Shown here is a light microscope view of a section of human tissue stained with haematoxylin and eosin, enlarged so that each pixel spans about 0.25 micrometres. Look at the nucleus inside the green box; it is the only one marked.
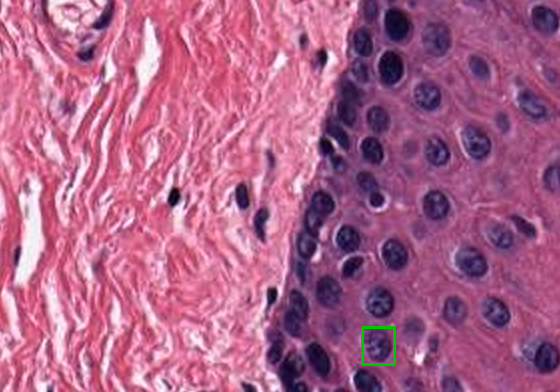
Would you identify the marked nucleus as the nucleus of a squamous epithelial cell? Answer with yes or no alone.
yes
